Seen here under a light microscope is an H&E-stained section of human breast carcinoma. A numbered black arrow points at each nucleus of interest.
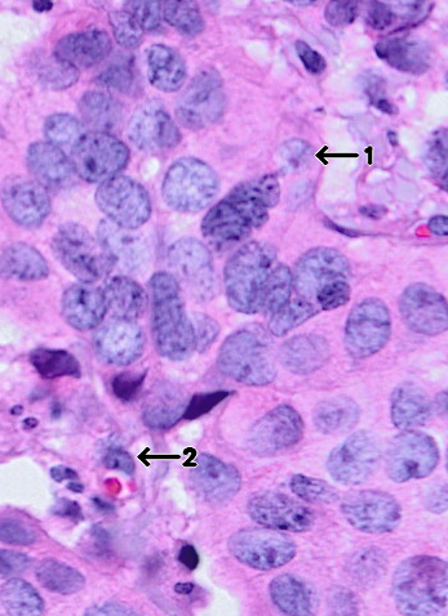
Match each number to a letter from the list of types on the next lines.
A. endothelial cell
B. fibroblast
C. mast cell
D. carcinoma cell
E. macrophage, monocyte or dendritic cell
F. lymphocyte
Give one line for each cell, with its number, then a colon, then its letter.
1: D
2: A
